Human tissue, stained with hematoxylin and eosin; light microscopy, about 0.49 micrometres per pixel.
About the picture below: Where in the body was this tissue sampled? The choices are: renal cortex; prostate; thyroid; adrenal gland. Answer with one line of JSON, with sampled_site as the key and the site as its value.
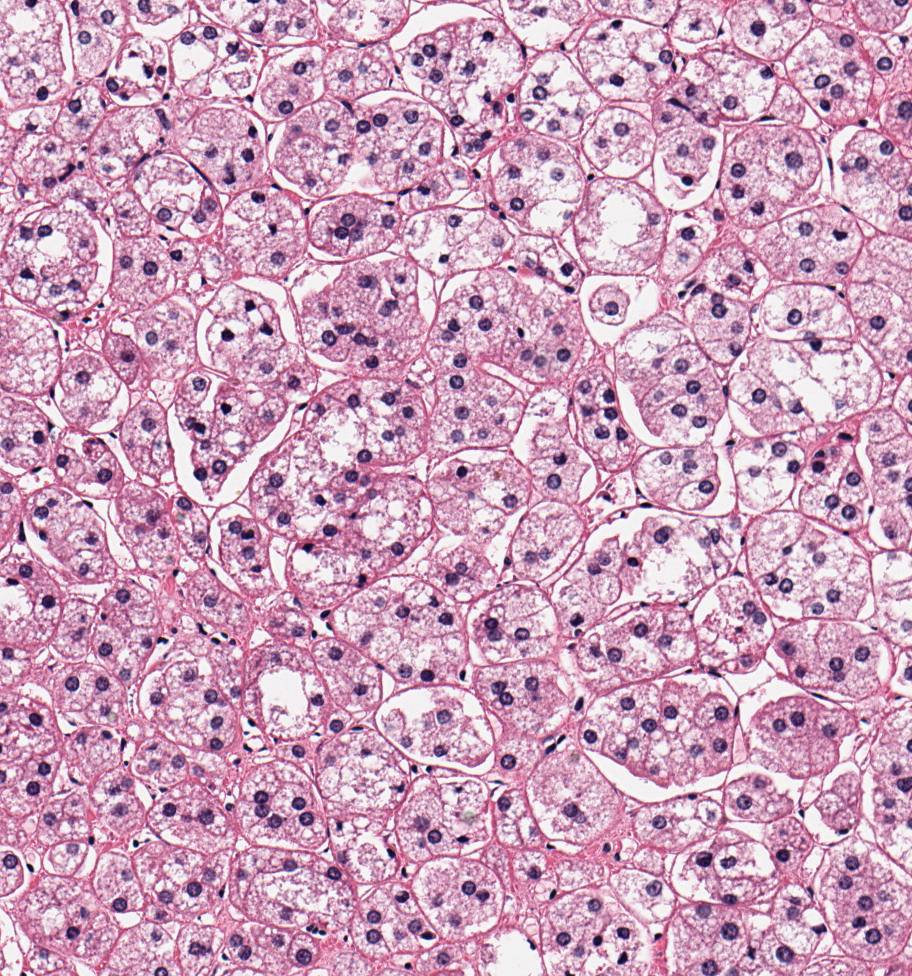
{"sampled_site": "adrenal gland"}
